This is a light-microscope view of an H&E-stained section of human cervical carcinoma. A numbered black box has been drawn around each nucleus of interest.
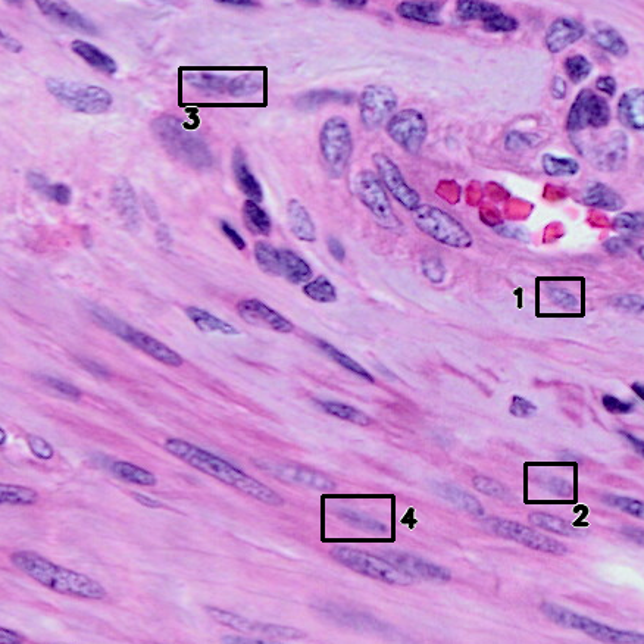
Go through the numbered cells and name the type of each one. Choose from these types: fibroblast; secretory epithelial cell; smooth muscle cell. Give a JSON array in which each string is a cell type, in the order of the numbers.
["smooth muscle cell", "smooth muscle cell", "fibroblast", "smooth muscle cell"]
